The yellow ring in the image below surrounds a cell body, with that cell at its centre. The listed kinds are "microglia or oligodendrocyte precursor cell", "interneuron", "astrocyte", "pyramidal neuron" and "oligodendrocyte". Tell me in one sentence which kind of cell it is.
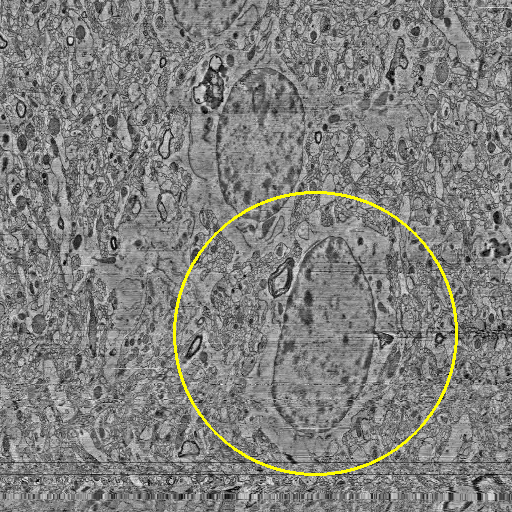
The centre of the ring holds an astrocyte.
